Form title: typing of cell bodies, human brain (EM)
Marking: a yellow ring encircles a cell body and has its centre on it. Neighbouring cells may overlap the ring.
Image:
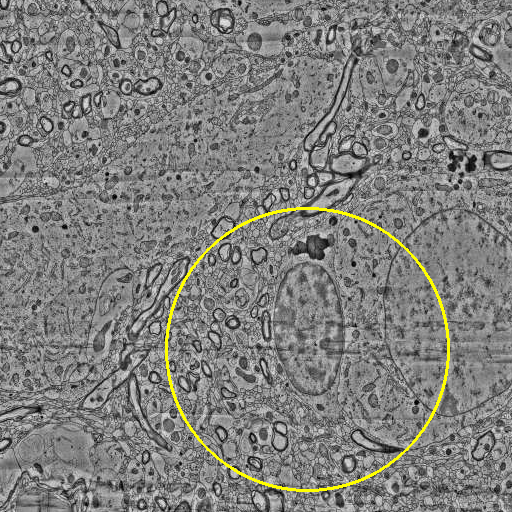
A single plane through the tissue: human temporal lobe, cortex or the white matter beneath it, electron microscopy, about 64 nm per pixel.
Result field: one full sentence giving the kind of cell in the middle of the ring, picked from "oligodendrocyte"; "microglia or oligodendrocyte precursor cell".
In the picture, the ring is centred on an oligodendrocyte, whose cell body it encircles.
